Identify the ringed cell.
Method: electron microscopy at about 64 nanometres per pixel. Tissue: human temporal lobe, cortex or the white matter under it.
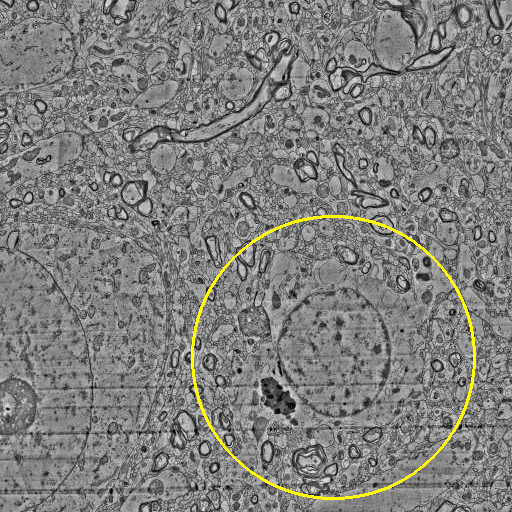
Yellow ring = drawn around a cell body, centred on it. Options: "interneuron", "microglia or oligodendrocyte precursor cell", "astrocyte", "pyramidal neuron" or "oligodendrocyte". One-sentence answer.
What the ring is centred on is an astrocyte.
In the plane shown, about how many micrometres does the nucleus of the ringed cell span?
In this plane, approximately 8 by 7 micrometers.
